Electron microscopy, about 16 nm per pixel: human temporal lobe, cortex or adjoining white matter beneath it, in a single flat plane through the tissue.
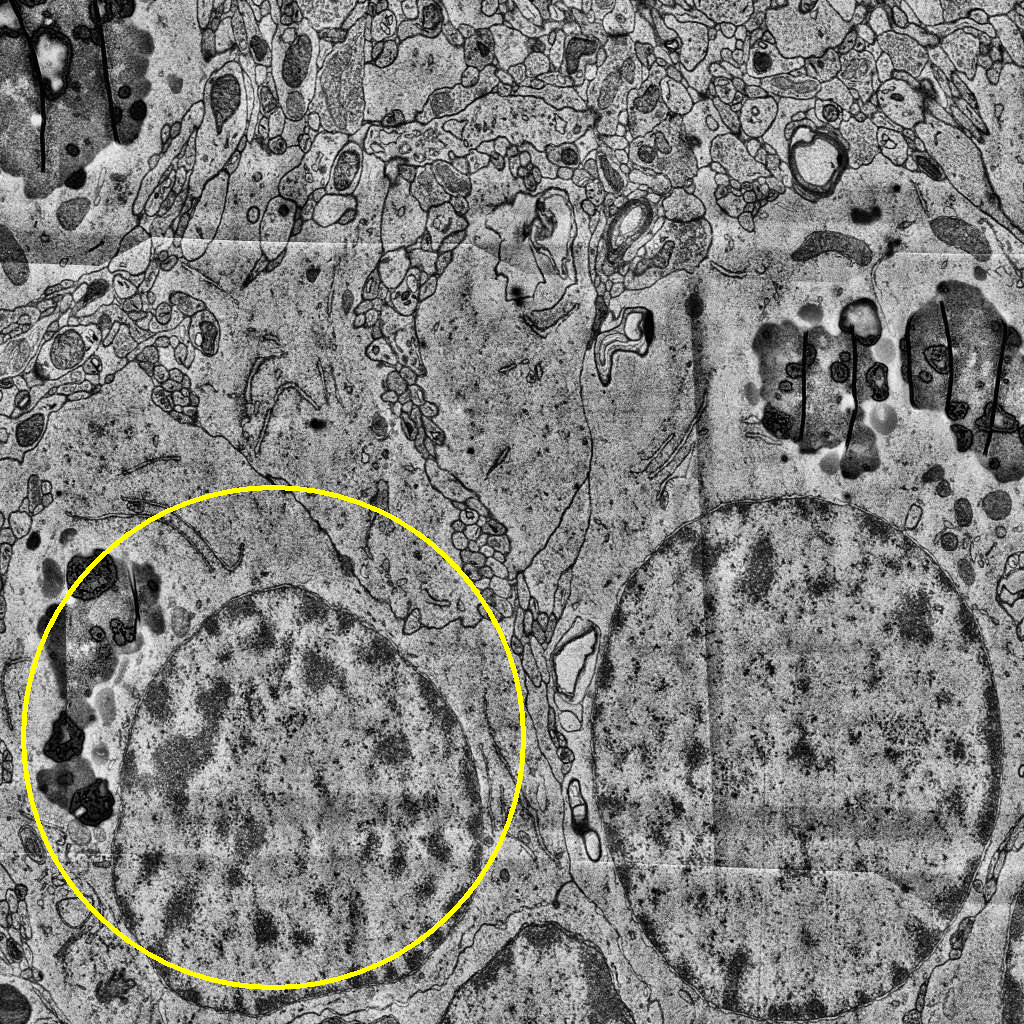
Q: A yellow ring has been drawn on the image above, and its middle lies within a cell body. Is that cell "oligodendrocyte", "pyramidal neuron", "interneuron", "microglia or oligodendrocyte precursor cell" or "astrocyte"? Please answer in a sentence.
The ring's middle lies in the cell body of an astrocyte.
